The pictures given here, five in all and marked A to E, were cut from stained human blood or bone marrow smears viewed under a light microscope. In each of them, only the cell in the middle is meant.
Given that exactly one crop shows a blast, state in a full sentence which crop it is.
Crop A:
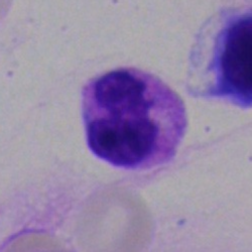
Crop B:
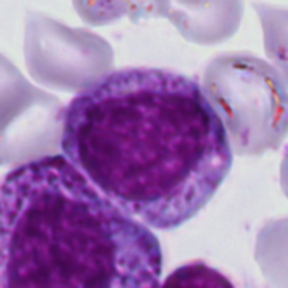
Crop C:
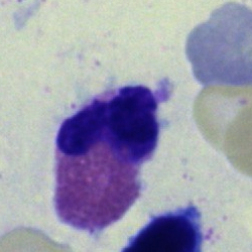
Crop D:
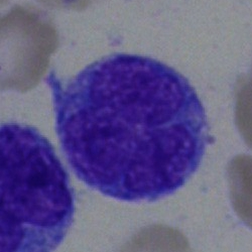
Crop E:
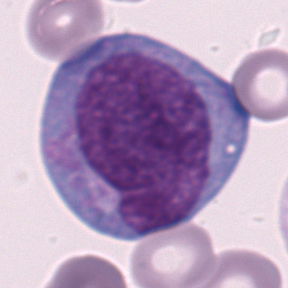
Identified crop: D, the one that shows a blast.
